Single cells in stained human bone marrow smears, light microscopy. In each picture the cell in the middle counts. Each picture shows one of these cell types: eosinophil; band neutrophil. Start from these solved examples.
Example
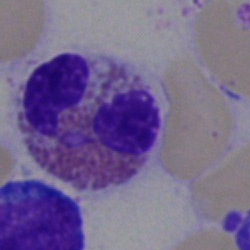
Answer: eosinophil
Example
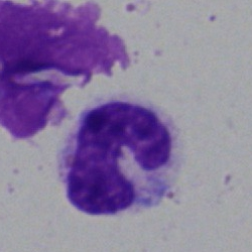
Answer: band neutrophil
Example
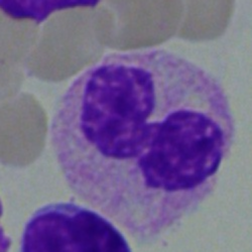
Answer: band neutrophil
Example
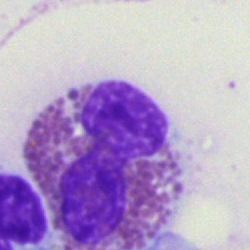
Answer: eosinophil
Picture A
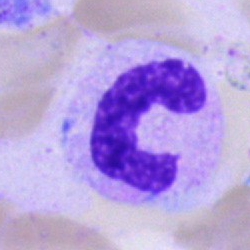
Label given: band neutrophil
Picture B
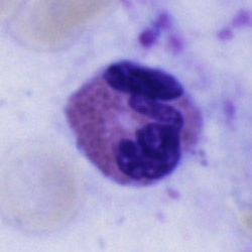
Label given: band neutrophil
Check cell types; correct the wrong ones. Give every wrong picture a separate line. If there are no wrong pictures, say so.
B is labelled band neutrophil; correct label: eosinophil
